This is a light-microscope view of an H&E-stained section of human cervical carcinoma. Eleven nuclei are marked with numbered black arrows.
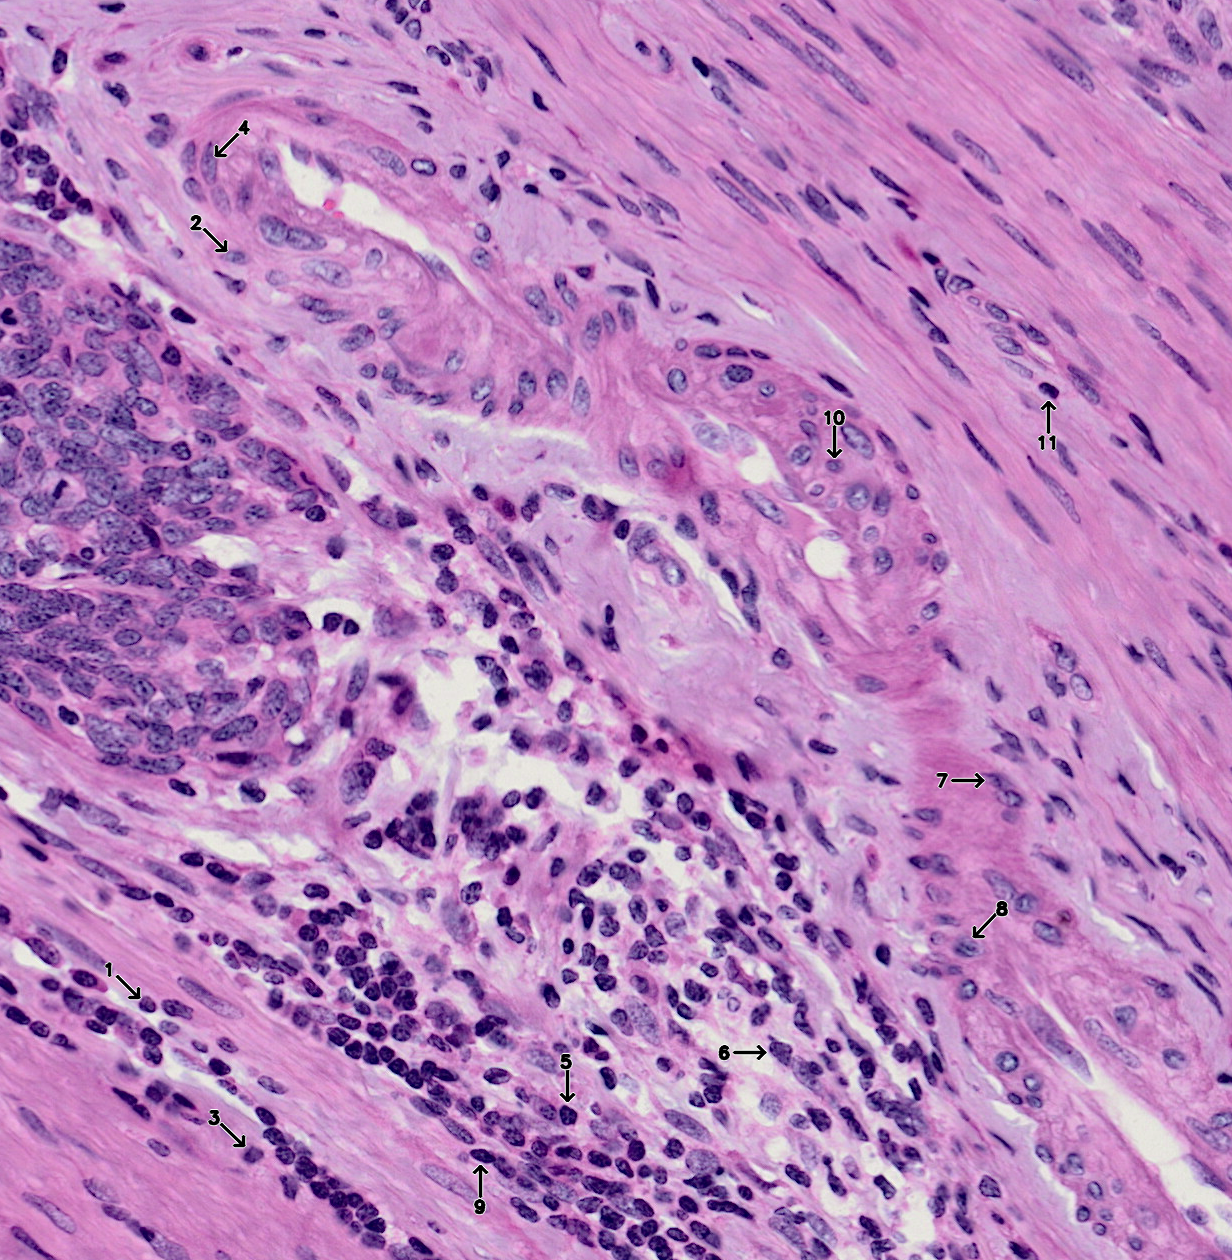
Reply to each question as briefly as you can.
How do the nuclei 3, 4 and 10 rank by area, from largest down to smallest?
4, 3, 10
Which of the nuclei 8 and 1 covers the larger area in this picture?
8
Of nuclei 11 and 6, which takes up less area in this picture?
11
